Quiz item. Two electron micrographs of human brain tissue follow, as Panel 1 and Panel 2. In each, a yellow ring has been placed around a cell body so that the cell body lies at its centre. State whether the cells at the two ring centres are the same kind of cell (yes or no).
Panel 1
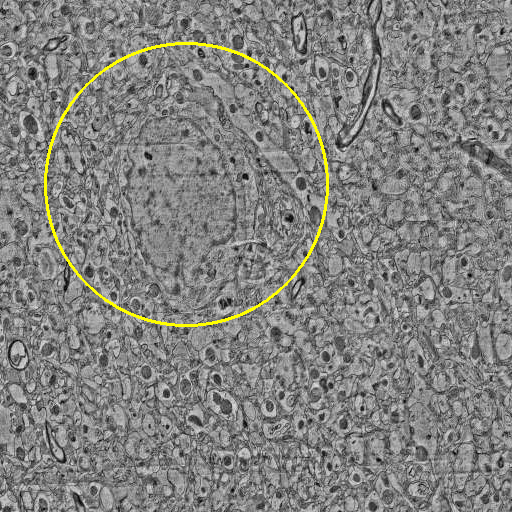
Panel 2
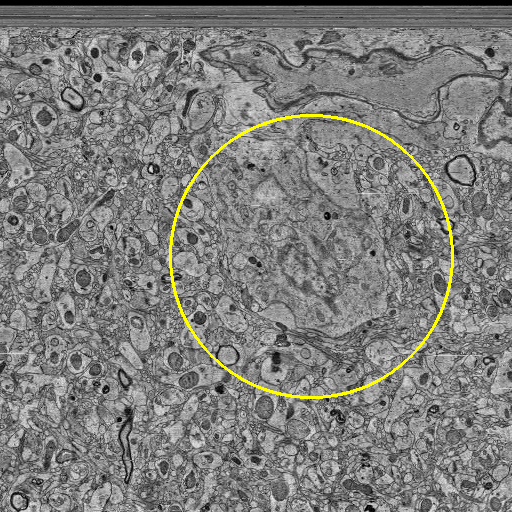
yes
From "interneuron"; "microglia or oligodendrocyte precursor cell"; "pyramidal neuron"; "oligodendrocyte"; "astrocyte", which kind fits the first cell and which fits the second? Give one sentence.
Each of the ringed cells, first and second, is an interneuron.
